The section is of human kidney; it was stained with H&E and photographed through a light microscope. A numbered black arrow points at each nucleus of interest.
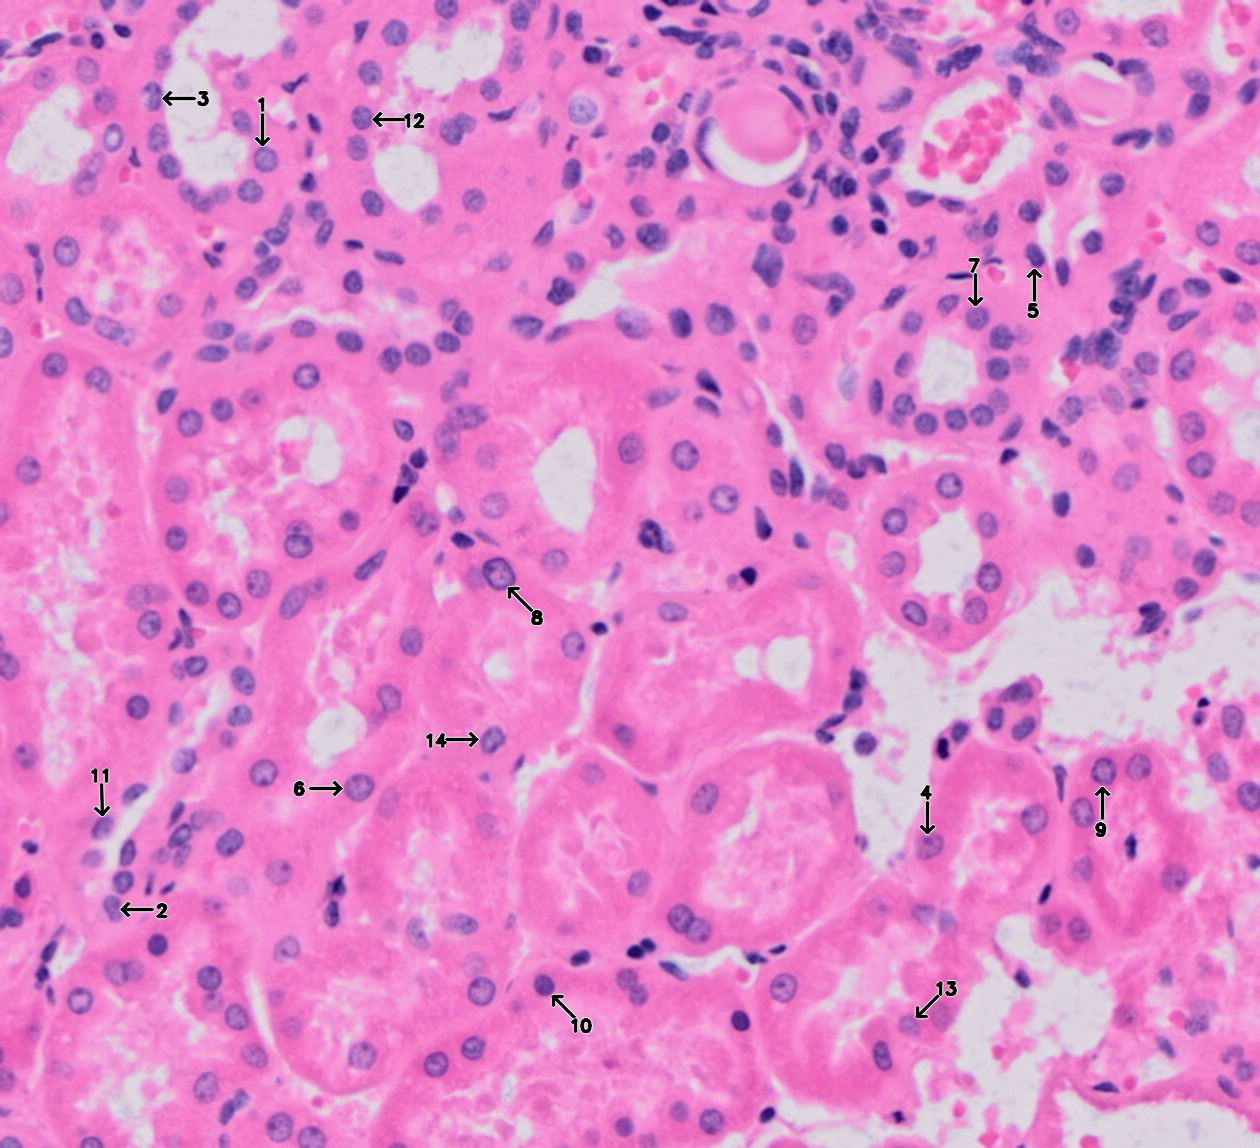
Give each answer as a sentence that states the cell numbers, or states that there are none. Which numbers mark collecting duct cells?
Cells 2, 7 and 11 are classified as collecting duct cells.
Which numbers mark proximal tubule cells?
The cells referred to by the numbers 4, 6, 8, 9, 10, 13 and 14 are proximal tubule cells.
